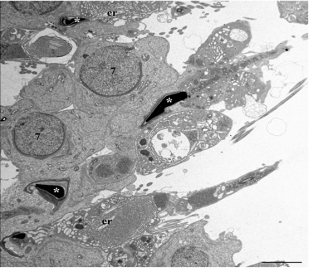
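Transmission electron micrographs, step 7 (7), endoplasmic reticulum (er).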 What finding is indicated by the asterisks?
Degenerate, misshapen spermatid heads.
